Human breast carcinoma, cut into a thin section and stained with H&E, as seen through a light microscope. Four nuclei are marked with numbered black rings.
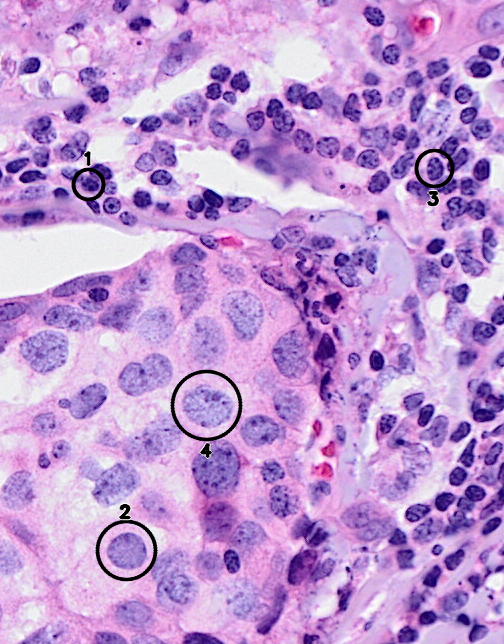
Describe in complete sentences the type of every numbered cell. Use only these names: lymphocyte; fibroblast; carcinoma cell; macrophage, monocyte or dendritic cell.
Cells 1 and 3 are lymphocytes. Cells 2 and 4 are carcinoma cells.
